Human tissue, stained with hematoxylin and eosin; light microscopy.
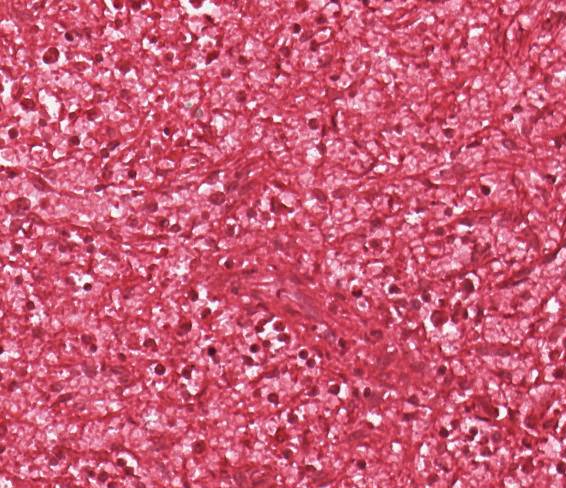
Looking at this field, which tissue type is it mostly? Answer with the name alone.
red pulp of the spleen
